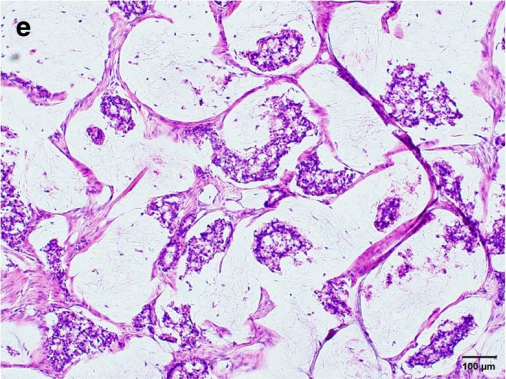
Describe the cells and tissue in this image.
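Large rounded pools of faintly wispy, almost clear material are divided by thin pink fibrous septa. Within the pools float clusters and small strips of tumor cells with dark purple nuclei, some forming little glandular rings. The cell clusters are detached from the septa rather than lining them.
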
